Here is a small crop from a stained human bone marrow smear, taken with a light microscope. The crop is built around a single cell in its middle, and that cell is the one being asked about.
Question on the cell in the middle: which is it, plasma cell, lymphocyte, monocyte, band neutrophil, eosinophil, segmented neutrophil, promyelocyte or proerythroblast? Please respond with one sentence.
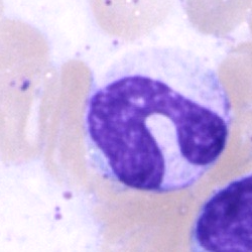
The middle of this crop holds a band neutrophil.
